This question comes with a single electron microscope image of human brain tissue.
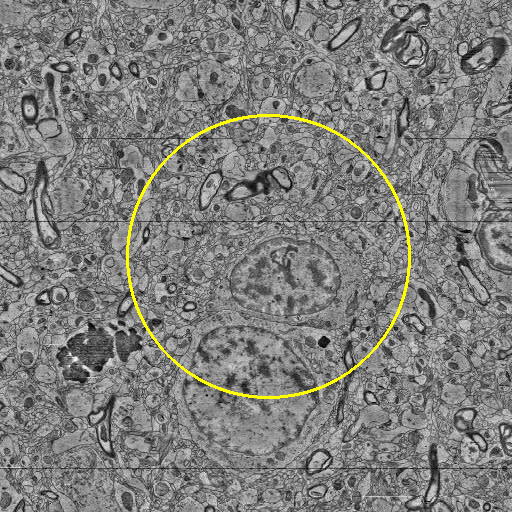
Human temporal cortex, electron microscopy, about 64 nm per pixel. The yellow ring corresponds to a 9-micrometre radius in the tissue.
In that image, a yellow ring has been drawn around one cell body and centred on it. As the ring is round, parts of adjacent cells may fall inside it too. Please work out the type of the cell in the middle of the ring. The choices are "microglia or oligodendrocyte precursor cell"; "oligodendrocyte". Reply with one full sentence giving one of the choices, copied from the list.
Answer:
Of the choices, an oligodendrocyte is the cell sitting in the middle of the ring.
